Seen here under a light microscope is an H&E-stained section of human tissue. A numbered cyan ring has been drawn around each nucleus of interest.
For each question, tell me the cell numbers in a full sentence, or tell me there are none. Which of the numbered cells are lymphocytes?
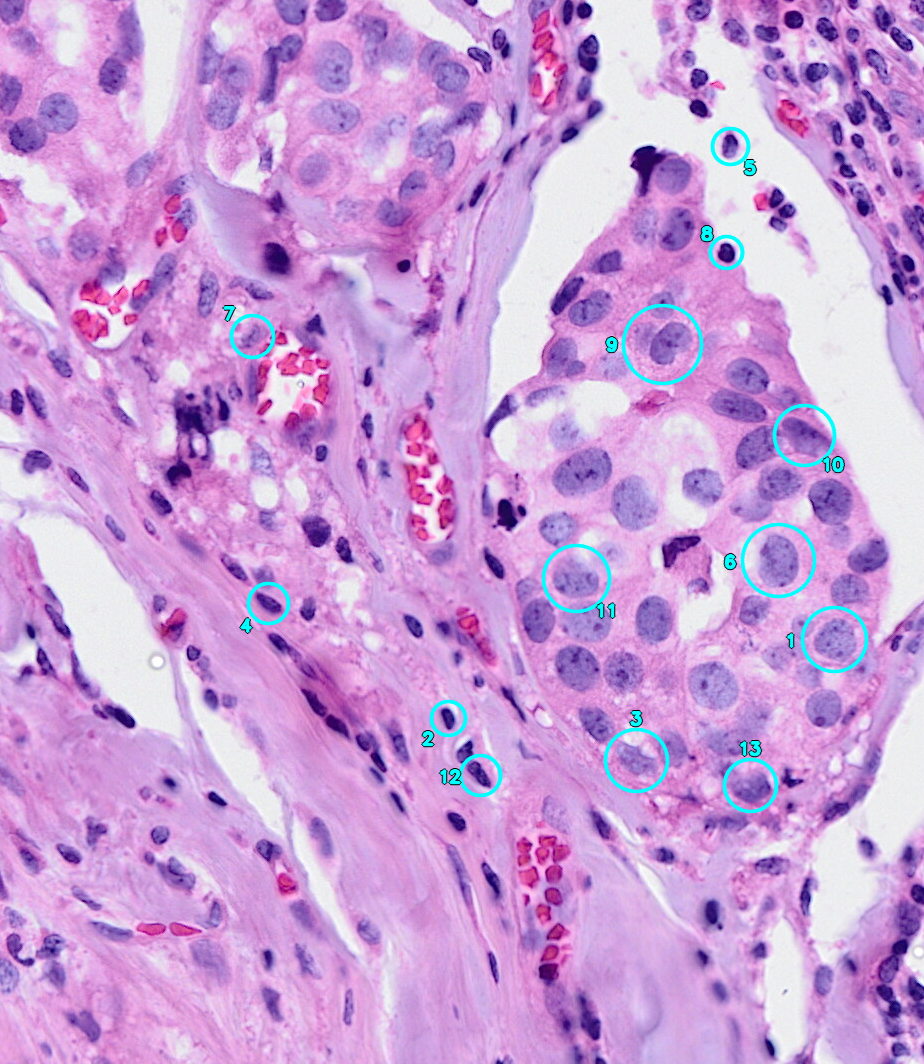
As for the cells numbered 2, 4, 5, 8 and 12, they are lymphocytes.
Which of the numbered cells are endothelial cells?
Cell 7 alone, of all the numbered cells, is an endothelial cell.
